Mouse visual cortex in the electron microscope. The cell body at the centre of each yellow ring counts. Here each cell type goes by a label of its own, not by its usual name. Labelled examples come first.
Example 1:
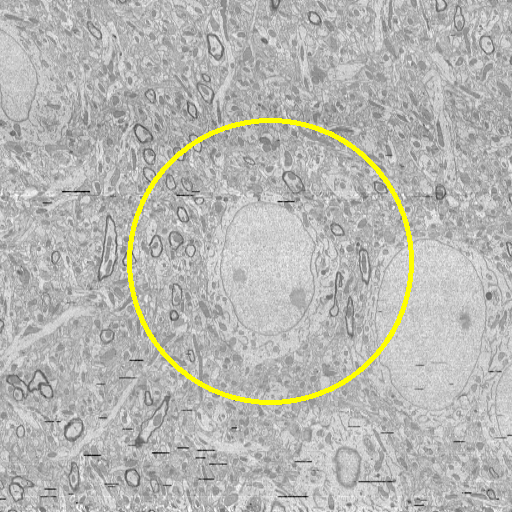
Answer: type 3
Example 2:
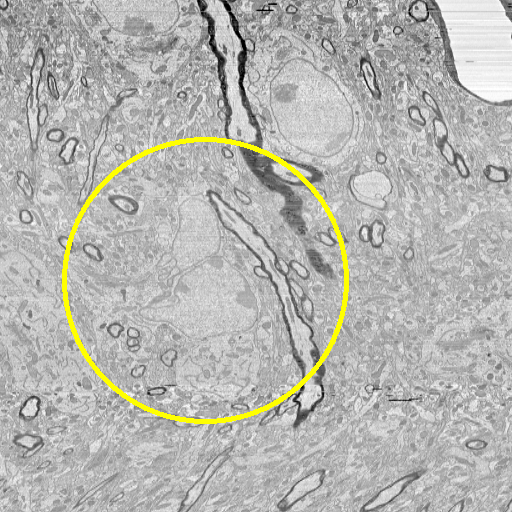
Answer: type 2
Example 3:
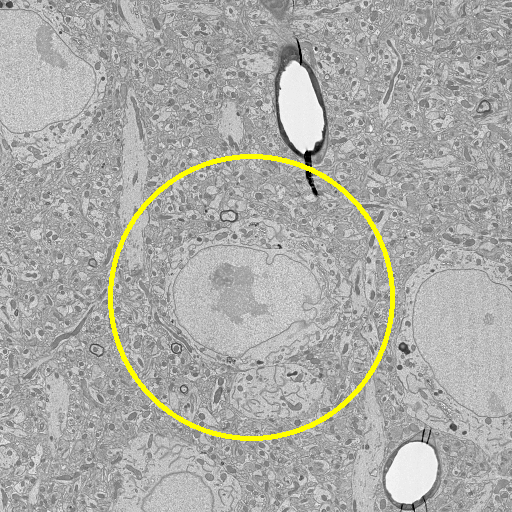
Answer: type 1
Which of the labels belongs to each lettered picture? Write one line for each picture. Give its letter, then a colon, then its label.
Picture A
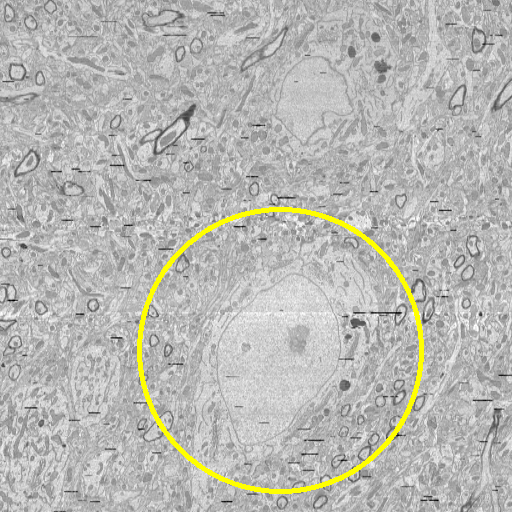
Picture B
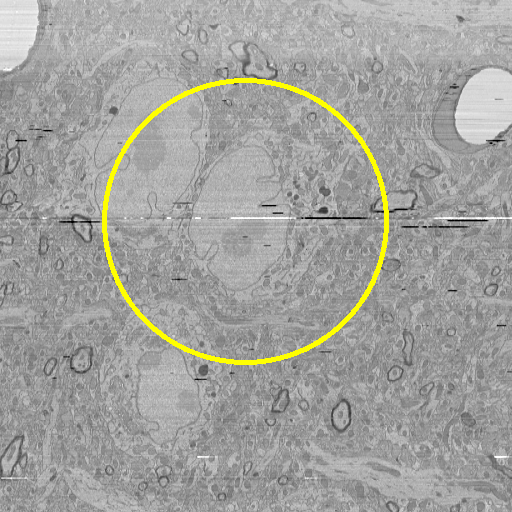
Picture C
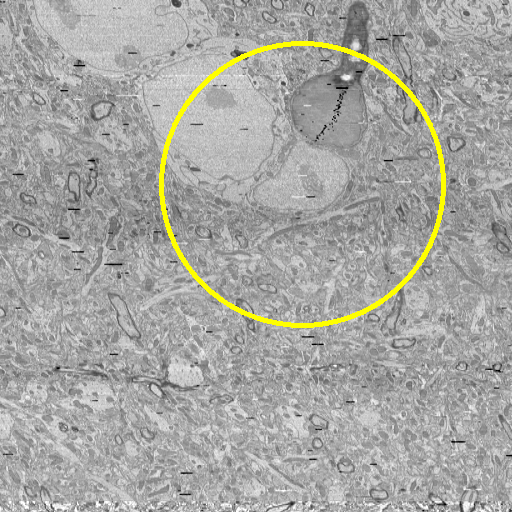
A: type 3
B: type 1
C: type 2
